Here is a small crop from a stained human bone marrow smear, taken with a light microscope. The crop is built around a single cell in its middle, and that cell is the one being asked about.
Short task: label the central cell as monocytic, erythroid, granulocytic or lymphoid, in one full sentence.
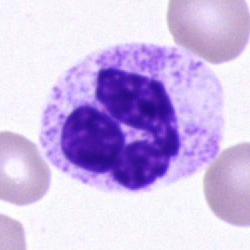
Regarding its lineage, the centered cell is granulocytic.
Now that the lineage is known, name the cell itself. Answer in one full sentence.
Located at the centre of the crop is a segmented neutrophil.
